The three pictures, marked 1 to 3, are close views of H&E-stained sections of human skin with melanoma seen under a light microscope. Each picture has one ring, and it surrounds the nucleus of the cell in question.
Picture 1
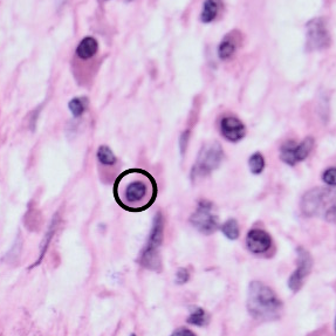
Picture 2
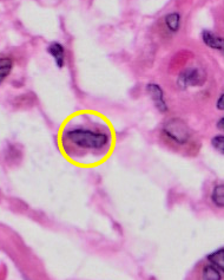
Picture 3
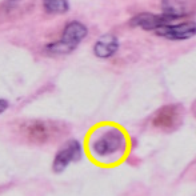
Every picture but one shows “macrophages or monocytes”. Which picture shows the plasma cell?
1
